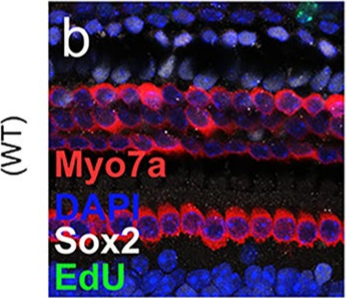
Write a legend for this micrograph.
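This is the sensory epithelium of the cochlea seen from above, with cells arranged in neat parallel rows. Three closely packed rows of round cells outlined in red run across the upper middle, and a single row of similar red-outlined cells lies below them, separated by a dark band. Each red-outlined cell holds a round blue nucleus. Above the rows lie many round nuclei, some of them pale white, and below the lower row lie further densely packed blue nuclei.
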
